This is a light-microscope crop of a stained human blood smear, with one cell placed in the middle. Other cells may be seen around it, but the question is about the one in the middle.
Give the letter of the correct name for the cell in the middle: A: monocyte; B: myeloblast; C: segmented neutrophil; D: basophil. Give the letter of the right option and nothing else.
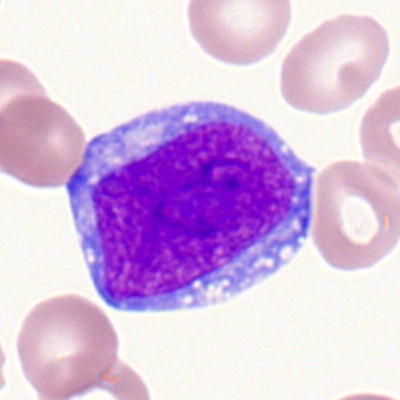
B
